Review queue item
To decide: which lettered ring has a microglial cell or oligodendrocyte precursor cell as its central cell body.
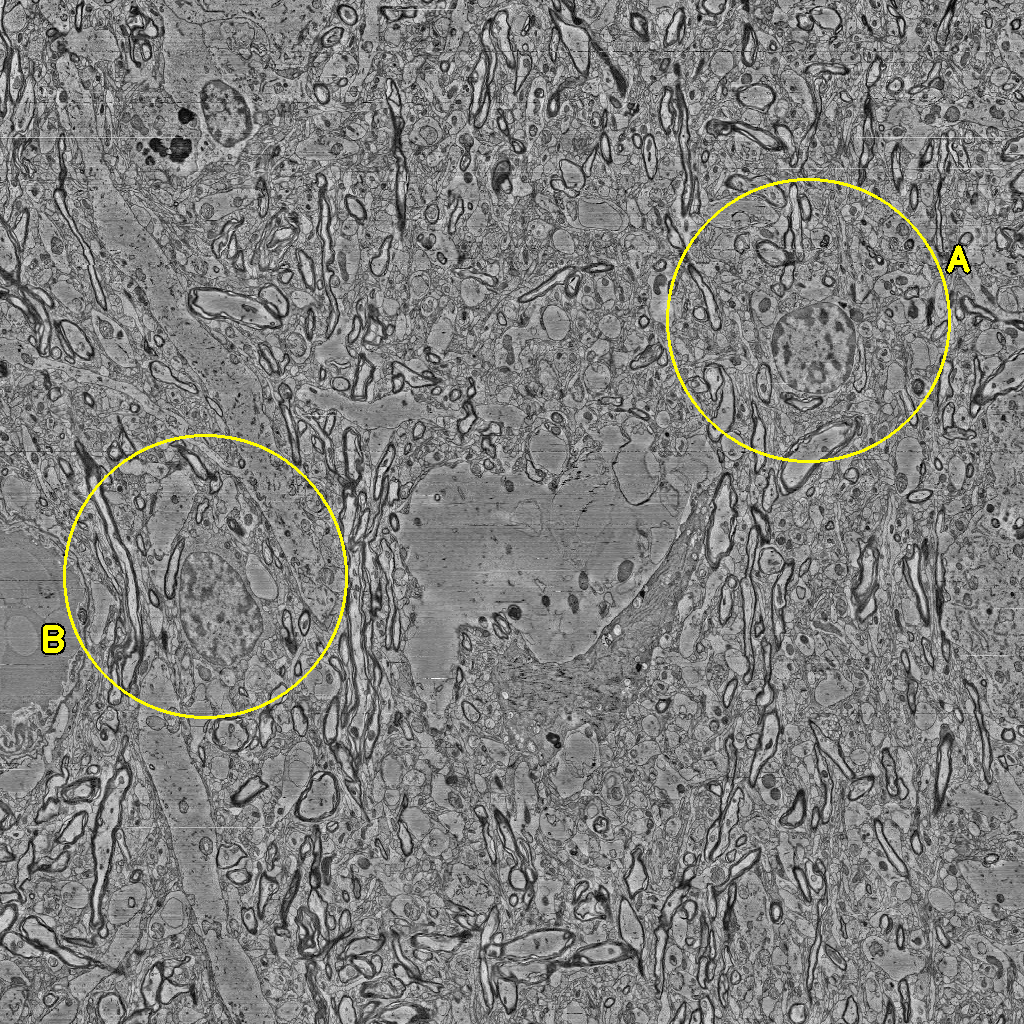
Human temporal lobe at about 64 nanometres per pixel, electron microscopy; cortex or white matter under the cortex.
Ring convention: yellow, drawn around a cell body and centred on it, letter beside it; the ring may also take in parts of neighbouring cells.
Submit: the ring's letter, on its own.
A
